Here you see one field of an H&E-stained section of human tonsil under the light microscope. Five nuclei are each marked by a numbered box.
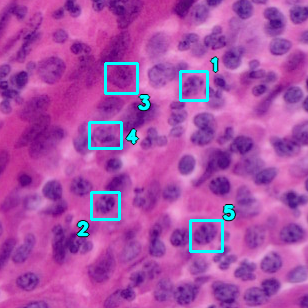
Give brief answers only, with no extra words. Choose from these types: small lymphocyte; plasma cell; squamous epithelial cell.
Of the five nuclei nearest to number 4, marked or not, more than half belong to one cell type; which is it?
squamous epithelial cell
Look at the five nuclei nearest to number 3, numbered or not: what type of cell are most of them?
squamous epithelial cell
